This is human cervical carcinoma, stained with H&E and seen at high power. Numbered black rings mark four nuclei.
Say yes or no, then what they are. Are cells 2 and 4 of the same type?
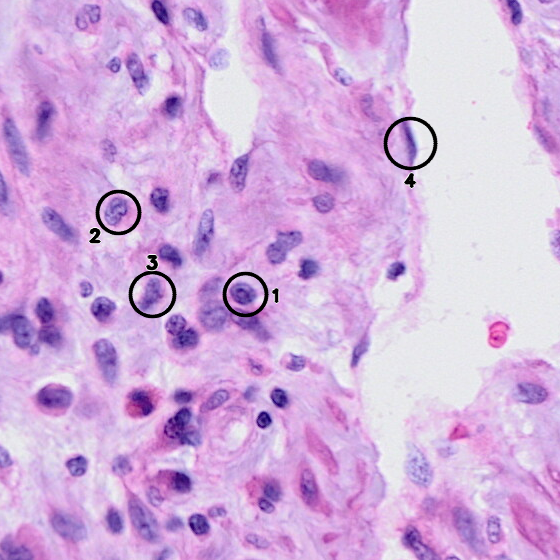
No, cell 2 is a macrophage or monocyte and cell 4 is an endothelial cell.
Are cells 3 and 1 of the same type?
No, cell 3 is a macrophage or monocyte and cell 1 is a lymphocyte.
